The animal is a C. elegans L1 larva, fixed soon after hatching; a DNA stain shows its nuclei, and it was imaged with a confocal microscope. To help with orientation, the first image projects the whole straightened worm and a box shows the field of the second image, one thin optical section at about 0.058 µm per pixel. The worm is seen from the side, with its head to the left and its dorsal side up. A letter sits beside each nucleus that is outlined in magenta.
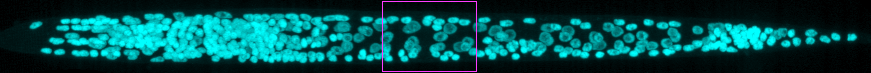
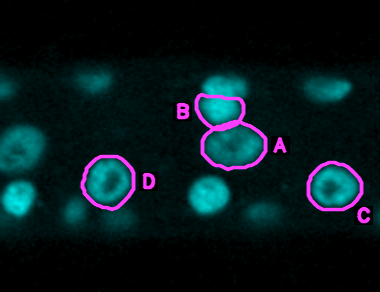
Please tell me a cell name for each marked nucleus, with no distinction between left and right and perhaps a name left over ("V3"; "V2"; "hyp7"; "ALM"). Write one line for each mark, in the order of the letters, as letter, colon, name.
A: hyp7
B: ALM
C: V3
D: V2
